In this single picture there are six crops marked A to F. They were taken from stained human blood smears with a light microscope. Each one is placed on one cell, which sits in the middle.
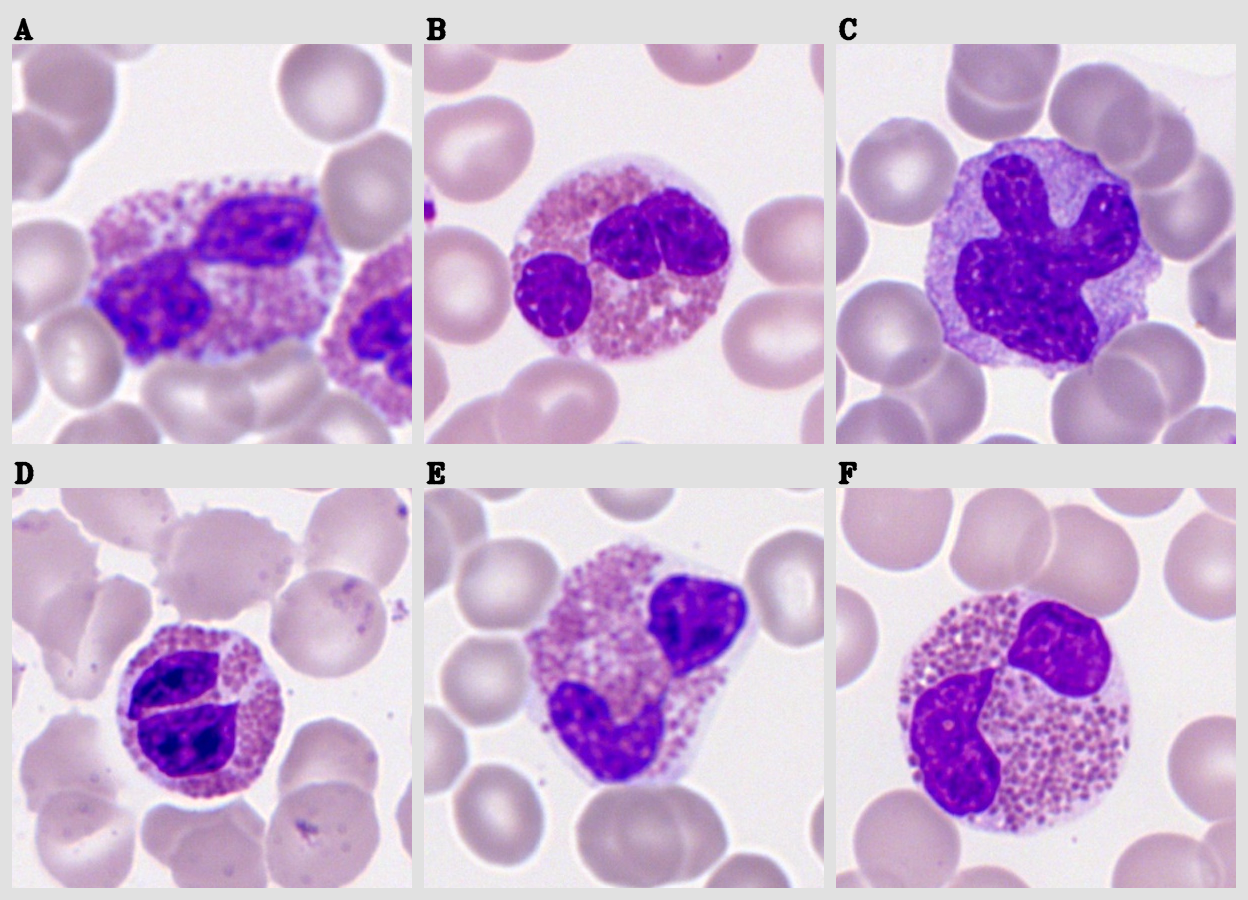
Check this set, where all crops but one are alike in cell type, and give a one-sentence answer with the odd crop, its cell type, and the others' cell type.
There is a monocyte in crop C, while all the other crops show eosinophils.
